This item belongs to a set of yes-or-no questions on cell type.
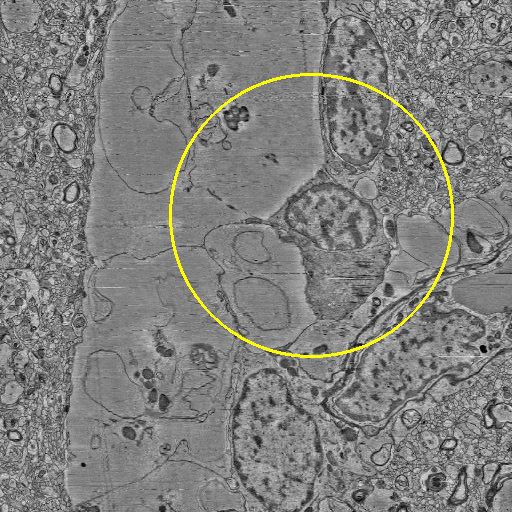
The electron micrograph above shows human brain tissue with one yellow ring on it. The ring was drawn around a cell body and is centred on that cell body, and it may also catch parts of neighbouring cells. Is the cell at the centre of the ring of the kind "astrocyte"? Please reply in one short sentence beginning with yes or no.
No, that cell is of another kind.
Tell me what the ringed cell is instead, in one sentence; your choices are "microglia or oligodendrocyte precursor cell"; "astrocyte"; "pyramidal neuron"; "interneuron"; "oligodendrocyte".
Instead, the ring surrounds an oligodendrocyte in this picture.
